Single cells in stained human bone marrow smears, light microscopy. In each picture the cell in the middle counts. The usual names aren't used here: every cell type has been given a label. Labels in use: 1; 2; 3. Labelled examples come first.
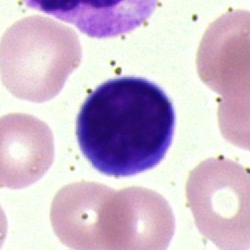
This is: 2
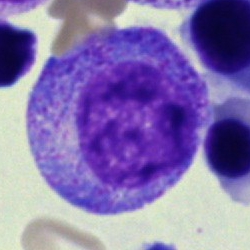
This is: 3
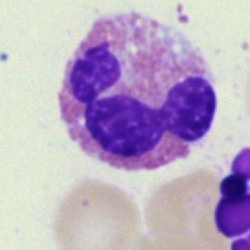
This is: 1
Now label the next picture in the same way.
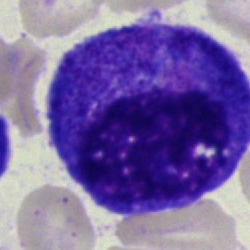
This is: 3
